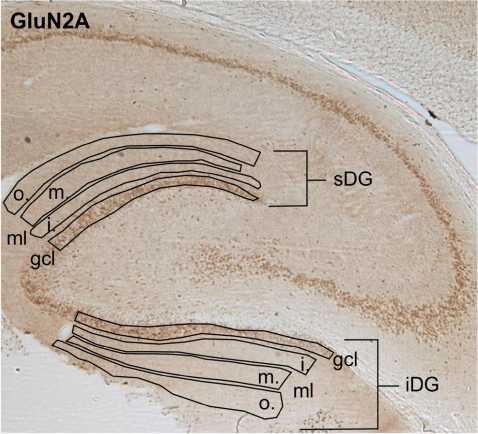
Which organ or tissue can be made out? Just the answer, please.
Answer: hippocampal formation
